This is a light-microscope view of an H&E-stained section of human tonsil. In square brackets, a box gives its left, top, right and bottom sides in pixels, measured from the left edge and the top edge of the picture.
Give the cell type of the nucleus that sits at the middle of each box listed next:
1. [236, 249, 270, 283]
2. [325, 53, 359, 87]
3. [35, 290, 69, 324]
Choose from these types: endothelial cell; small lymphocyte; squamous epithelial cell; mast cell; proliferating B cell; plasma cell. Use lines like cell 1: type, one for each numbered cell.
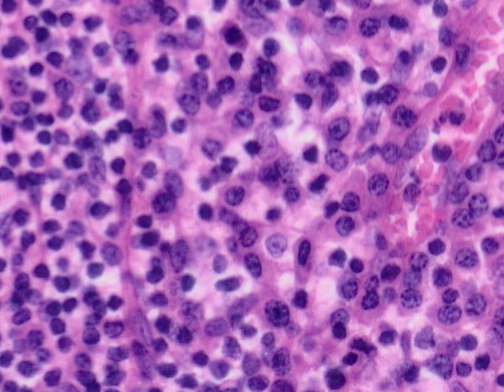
cell 1: plasma cell
cell 2: plasma cell
cell 3: small lymphocyte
